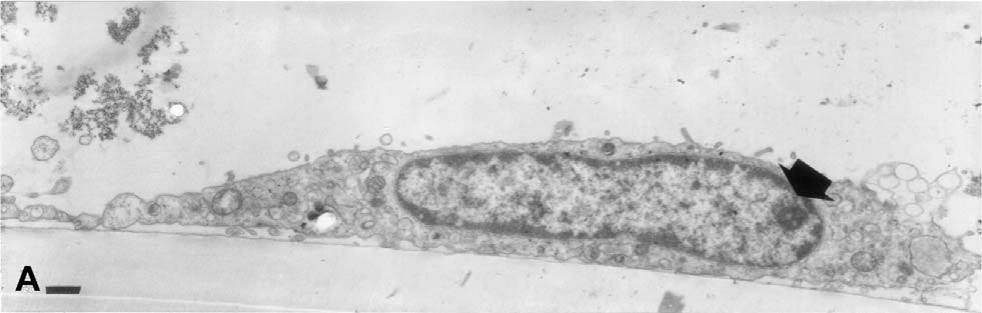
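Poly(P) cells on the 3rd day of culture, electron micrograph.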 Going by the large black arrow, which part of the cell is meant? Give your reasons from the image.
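The arrow points to a dense dark patch inside the elongated nucleus. The patch lies near one end of the nucleus, darker than the surrounding chromatin. The answer: Nucleolus.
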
